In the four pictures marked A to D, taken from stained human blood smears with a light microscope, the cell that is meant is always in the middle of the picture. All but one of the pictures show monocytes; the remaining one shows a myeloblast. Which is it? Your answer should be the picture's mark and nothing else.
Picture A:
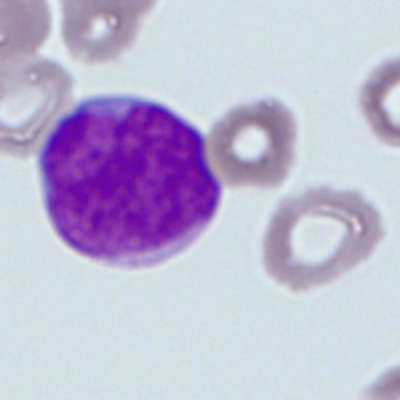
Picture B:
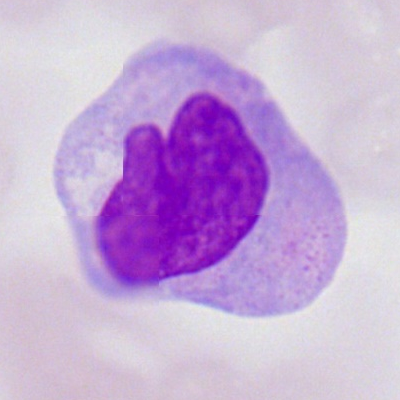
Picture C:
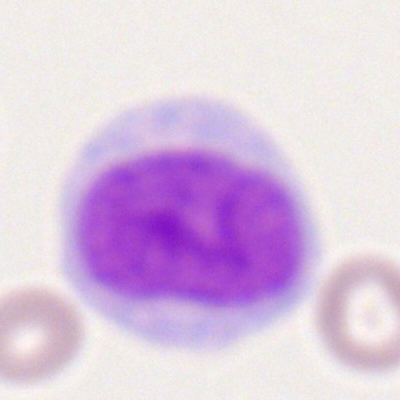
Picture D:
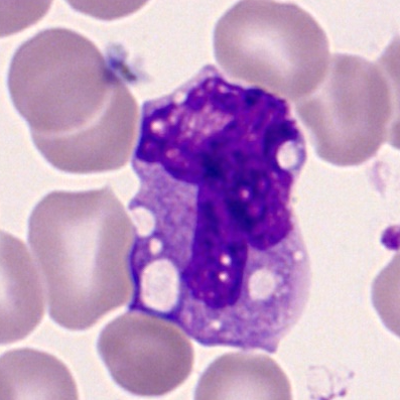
A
